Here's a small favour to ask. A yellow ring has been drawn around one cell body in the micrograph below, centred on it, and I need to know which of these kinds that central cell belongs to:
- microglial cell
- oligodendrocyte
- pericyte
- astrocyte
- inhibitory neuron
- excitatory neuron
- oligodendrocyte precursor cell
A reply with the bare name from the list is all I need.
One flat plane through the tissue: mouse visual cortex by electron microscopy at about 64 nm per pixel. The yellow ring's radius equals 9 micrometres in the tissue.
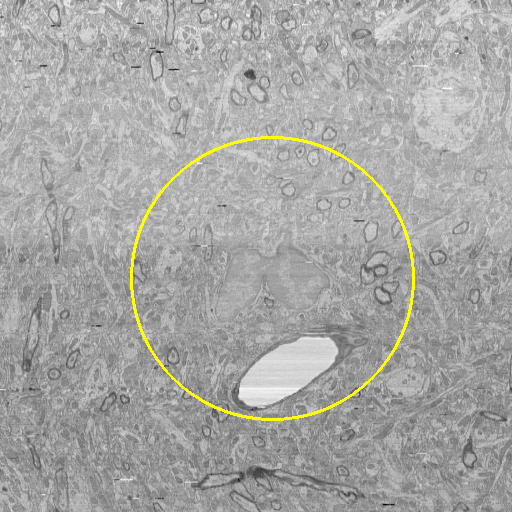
microglial cell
